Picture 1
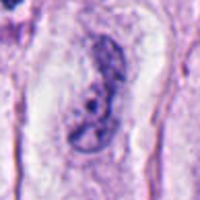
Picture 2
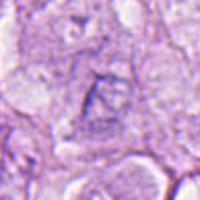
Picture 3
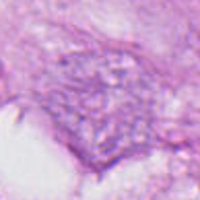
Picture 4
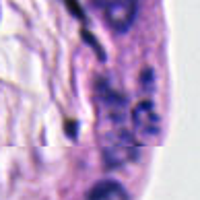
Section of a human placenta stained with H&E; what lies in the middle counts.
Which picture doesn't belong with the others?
Picture 4.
